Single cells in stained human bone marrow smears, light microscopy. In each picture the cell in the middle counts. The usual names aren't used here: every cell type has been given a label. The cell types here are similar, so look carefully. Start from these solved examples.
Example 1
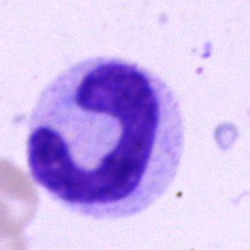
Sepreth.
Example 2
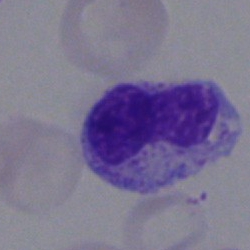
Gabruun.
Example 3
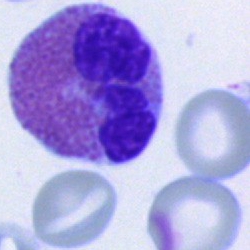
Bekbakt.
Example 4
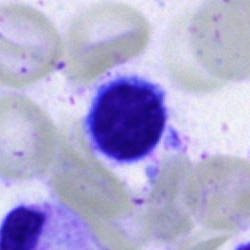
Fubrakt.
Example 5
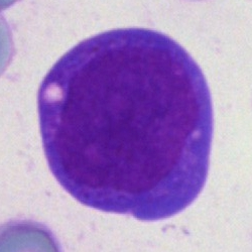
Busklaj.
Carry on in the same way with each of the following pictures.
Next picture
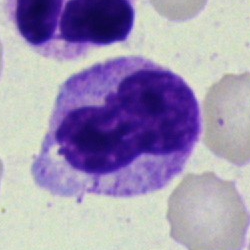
Sepreth.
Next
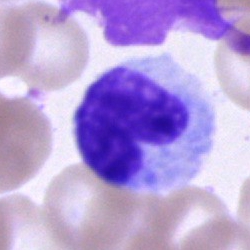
Sepreth.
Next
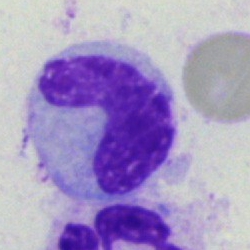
Sepreth.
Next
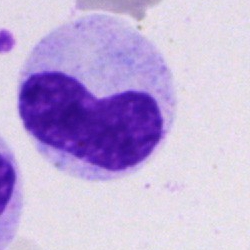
Gabruun.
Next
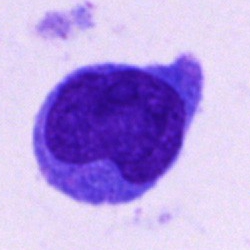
Busklaj.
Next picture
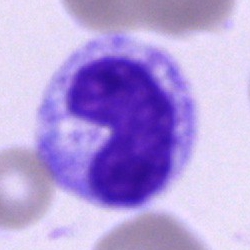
Gabruun.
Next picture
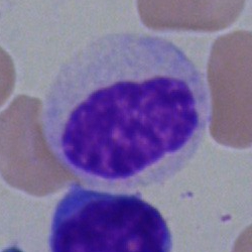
Gabruun.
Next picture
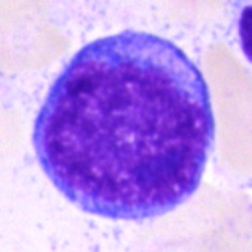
Busklaj.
